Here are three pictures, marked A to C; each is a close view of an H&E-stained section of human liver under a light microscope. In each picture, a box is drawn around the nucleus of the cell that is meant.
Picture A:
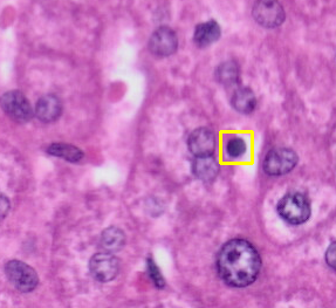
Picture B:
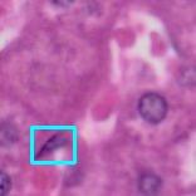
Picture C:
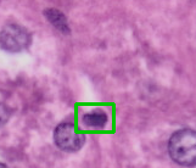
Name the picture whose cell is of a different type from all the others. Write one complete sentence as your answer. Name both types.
The different one is picture B; it shows an endothelial cell, whereas all the others show lymphocytes.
